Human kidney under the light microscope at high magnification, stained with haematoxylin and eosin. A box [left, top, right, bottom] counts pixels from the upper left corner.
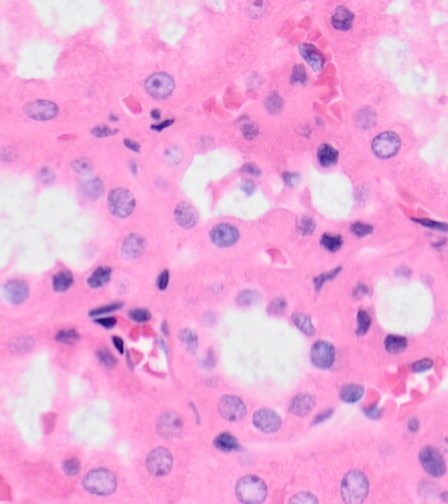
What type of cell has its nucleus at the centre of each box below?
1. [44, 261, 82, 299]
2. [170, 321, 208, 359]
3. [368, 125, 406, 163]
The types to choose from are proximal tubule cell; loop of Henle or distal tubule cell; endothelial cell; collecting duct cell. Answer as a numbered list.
1. loop of Henle or distal tubule cell
2. loop of Henle or distal tubule cell
3. proximal tubule cell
